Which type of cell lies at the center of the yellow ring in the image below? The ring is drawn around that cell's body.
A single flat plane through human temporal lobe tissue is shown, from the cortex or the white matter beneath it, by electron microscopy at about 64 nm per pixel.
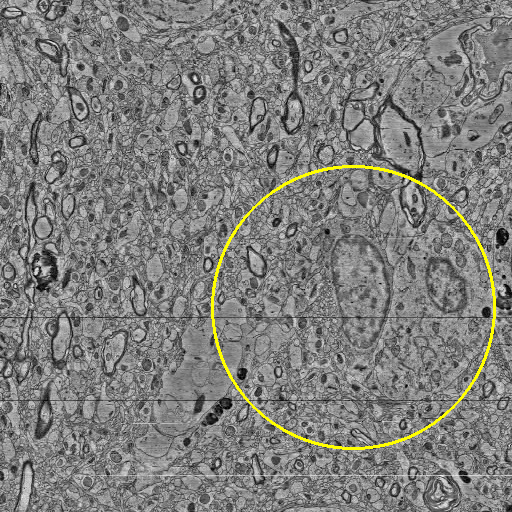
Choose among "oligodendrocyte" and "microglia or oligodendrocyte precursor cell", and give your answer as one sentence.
The cell body at the center belongs to an oligodendrocyte.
